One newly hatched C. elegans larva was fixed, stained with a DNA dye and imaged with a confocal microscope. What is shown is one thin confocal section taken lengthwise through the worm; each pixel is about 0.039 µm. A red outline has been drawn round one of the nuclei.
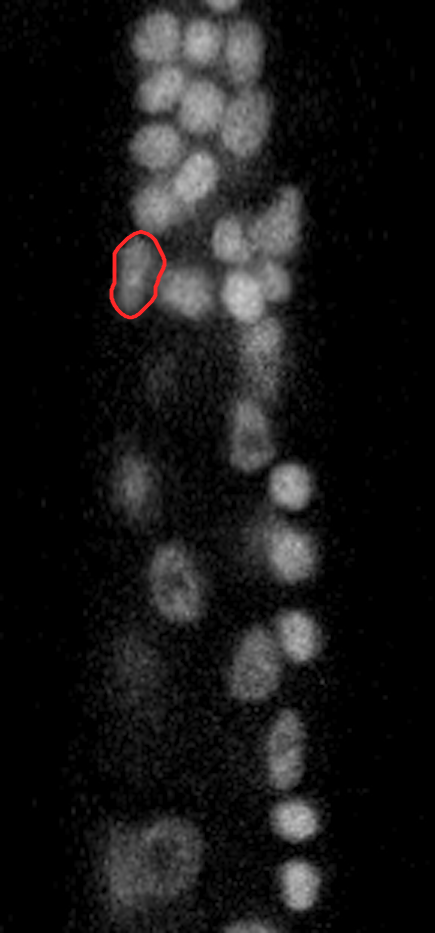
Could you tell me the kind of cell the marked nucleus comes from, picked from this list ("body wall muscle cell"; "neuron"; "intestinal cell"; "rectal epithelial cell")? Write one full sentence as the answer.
The cell with the marked nucleus is a body wall muscle cell.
